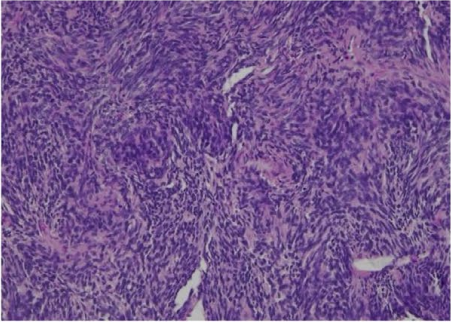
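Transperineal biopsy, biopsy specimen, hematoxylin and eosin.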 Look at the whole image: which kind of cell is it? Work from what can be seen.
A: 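Spindle cells. Cells are elongated with tapering ends. Nuclei are elongated and dark purple.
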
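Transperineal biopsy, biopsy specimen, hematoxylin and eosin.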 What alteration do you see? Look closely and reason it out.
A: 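Nuclei are densely crowded across the whole field. Little stroma or space lies between the cells. That points to this answer: high cellularity.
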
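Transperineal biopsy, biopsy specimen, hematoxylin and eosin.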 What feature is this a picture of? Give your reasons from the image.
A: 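Cells run in bundles that cross one another at different angles. Streams of parallel elongated nuclei.
Hence: fascicular pattern.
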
